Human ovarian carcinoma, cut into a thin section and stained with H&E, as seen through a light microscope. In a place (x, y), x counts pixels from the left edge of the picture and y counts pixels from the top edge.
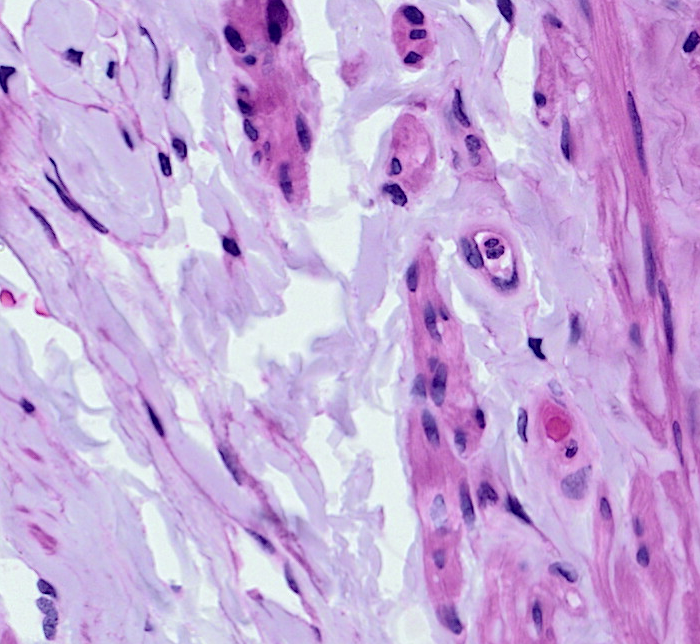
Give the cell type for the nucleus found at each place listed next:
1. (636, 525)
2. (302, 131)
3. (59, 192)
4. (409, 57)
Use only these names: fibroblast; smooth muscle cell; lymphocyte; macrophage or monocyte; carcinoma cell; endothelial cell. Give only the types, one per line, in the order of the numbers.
smooth muscle cell
smooth muscle cell
fibroblast
smooth muscle cell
